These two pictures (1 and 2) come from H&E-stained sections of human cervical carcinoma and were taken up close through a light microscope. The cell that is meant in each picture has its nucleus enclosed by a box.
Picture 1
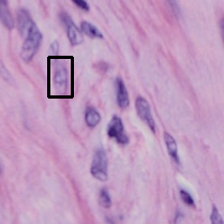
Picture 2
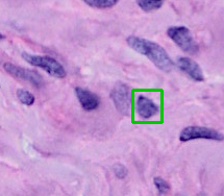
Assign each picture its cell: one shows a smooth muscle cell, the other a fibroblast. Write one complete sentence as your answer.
Picture 1 is of a smooth muscle cell, and picture 2 is of a fibroblast.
